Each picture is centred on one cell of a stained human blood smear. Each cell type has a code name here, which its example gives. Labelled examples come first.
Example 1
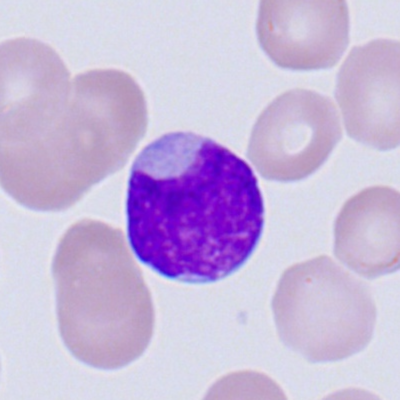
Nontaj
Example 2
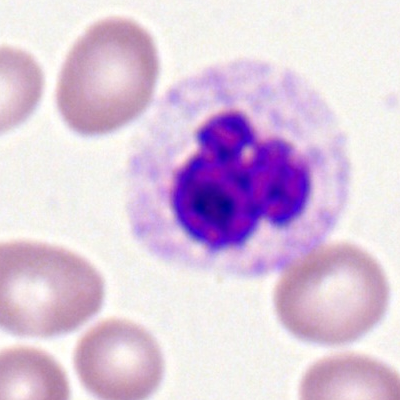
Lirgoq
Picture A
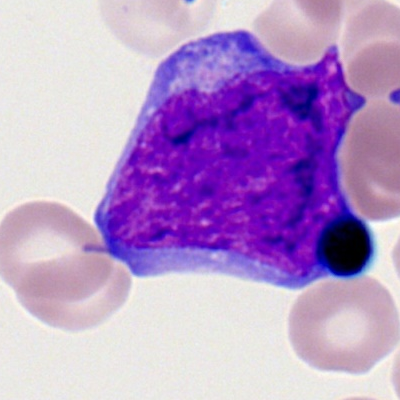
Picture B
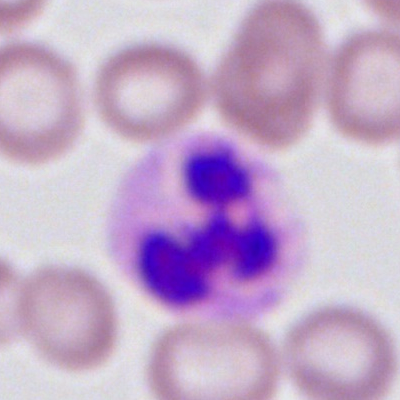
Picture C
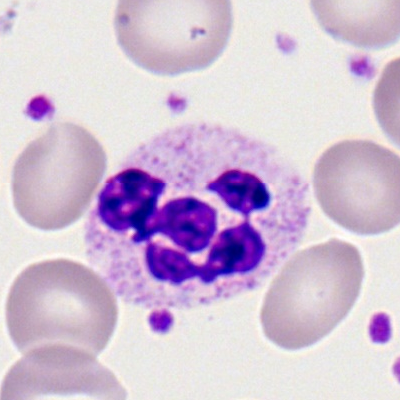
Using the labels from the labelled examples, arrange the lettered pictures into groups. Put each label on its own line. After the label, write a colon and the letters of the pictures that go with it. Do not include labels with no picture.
Nontaj: A
Lirgoq: B, C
